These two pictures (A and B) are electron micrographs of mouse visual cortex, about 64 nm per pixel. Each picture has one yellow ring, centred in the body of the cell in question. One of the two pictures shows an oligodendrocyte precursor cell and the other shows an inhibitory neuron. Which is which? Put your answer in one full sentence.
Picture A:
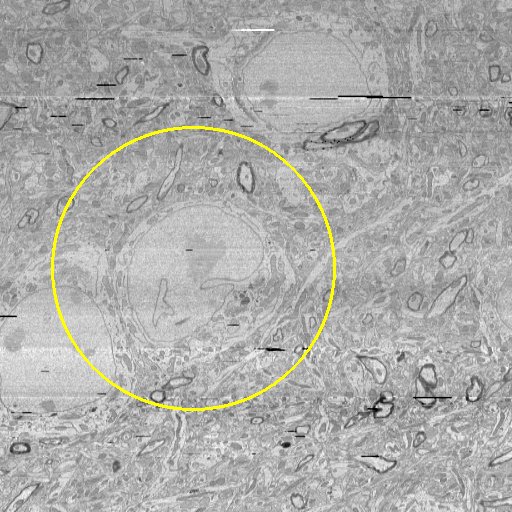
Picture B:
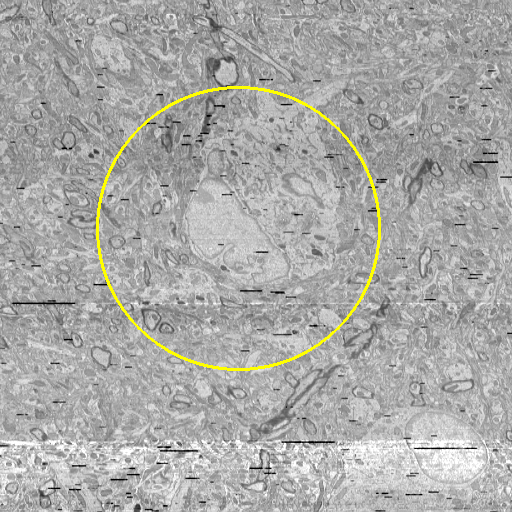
Picture A is of an inhibitory neuron, and picture B is of an oligodendrocyte precursor cell.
